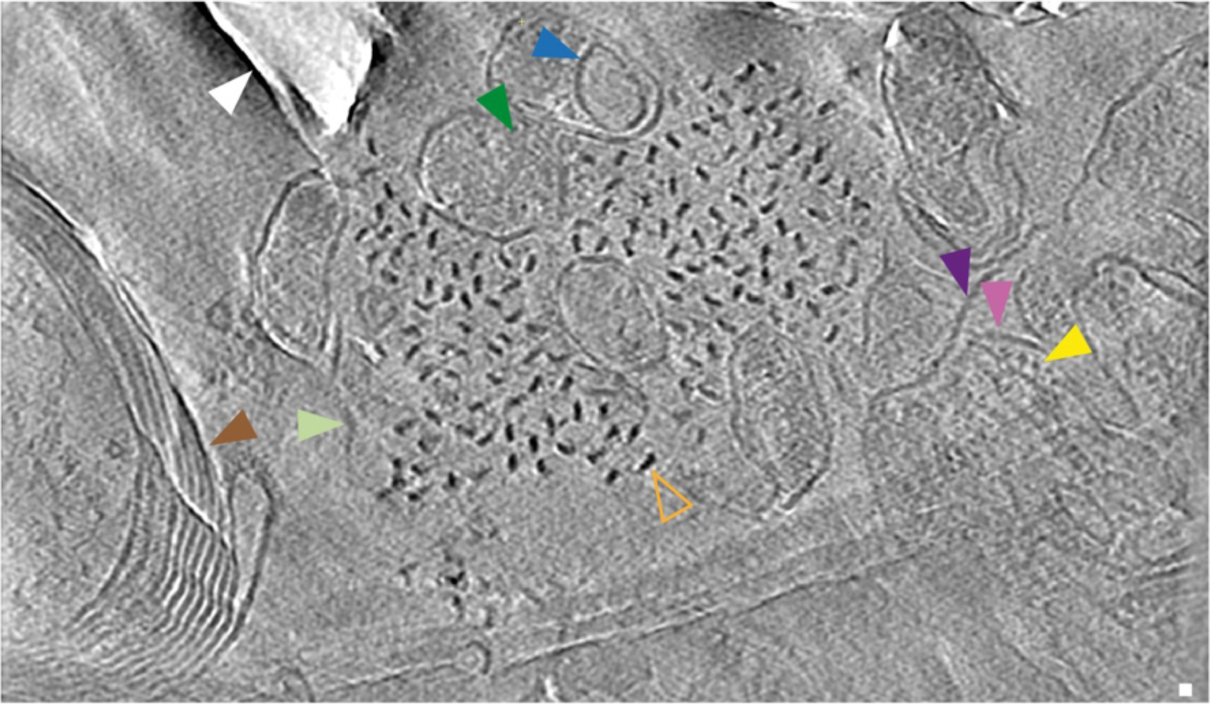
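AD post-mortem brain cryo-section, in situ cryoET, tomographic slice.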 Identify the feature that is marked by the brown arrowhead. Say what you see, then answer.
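At the left edge a curved band of many closely spaced parallel membrane layers. The arrowhead points at the edge of this layered band.
Conclusion: myelinated axon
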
